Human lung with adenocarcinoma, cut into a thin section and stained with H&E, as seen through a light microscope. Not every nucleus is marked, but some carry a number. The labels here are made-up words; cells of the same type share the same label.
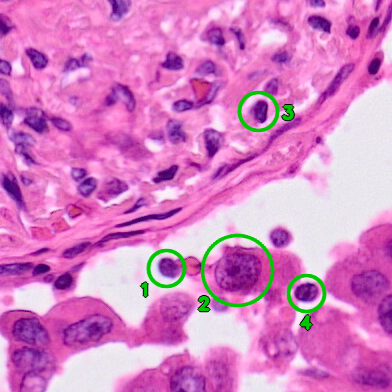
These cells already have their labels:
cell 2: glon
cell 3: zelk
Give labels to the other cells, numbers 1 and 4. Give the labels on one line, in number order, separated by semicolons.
zelk; zelk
